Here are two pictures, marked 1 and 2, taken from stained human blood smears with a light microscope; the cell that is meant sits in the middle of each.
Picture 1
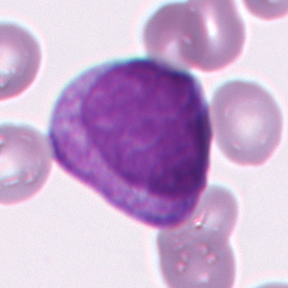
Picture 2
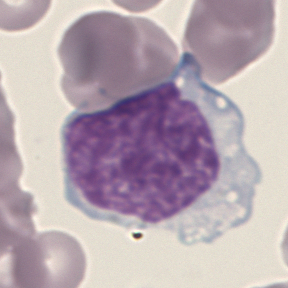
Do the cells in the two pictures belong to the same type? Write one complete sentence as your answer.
No, the types are not the same, since picture 1 shows an atypical promyelocyte and picture 2 a myeloblast.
